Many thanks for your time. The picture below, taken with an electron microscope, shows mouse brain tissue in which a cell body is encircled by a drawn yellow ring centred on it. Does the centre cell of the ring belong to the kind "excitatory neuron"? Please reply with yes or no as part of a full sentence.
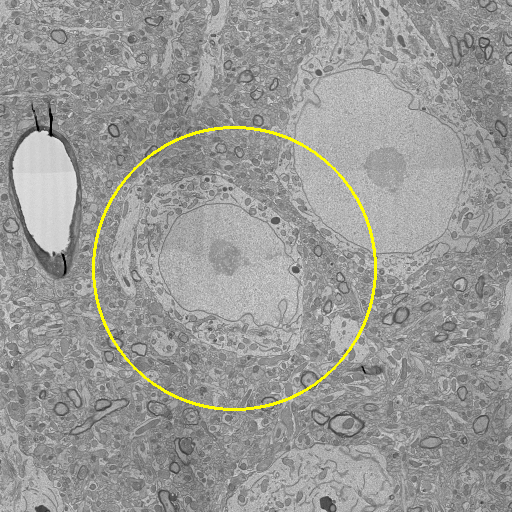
No, in the picture the cell at the ring's centre is of some different kind.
